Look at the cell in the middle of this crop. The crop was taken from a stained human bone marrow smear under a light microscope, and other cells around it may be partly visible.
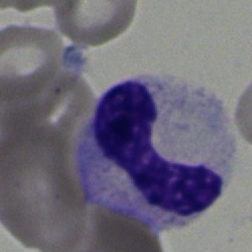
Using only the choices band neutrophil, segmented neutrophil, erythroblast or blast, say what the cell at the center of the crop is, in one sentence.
This crop has a band neutrophil at its centre.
